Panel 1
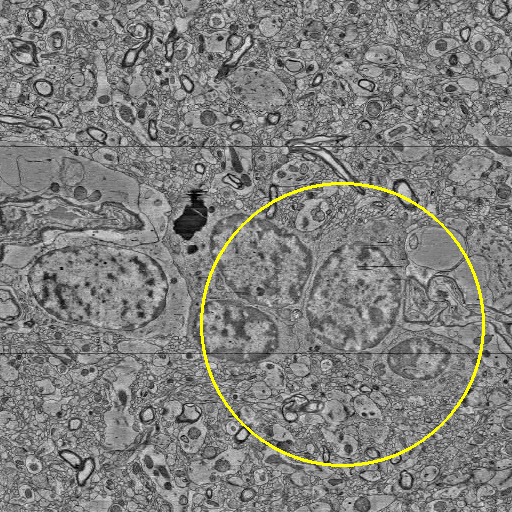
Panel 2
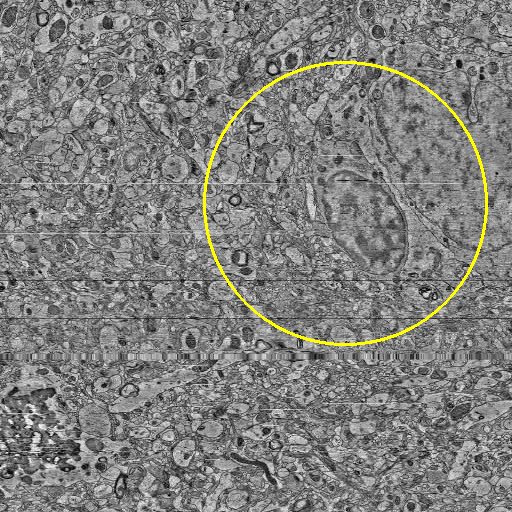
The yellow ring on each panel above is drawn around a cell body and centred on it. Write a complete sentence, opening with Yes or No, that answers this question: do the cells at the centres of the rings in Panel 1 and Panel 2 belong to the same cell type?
Yes, both cells belong to the same cell type.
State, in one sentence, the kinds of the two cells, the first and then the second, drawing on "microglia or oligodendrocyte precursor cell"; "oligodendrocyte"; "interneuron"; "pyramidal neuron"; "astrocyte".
Each of the two rings is centred on an oligodendrocyte.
